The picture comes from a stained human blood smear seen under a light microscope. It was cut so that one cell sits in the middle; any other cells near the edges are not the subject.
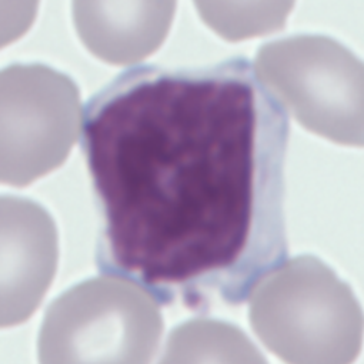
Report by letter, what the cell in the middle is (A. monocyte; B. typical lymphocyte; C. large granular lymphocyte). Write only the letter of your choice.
C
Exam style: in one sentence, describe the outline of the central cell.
The border of the cell is irregular, being either ragged or extended into projections.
